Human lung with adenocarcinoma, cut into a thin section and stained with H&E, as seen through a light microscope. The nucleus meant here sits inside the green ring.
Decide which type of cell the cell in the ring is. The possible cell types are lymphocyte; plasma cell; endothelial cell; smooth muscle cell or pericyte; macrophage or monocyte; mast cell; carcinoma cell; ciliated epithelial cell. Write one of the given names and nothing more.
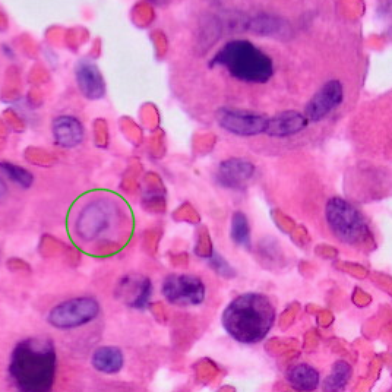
macrophage or monocyte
